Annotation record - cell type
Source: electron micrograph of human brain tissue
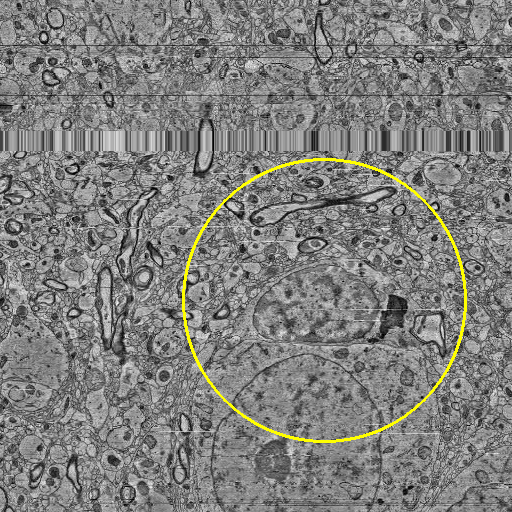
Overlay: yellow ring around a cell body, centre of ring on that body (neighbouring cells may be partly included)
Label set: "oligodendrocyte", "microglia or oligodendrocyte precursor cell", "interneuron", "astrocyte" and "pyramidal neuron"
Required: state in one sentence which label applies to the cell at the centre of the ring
This cell should be labelled as an oligodendrocyte.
